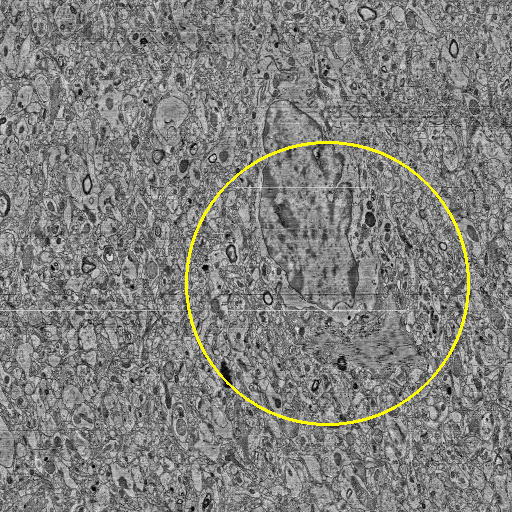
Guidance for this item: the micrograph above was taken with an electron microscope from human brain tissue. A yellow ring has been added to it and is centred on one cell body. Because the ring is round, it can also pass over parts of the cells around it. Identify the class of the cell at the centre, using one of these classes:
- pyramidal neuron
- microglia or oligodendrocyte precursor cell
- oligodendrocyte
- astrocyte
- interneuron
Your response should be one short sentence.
The ring surrounds the body of a microglial cell or oligodendrocyte precursor cell.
